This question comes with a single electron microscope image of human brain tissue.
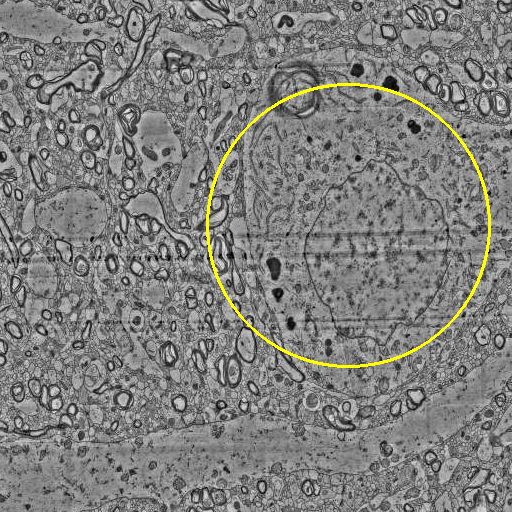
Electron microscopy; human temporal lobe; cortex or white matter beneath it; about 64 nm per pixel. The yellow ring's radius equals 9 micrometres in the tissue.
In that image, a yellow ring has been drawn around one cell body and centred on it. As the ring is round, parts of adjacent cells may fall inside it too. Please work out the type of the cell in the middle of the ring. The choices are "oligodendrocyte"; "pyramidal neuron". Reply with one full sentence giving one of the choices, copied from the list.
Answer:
Of the choices, a pyramidal neuron is the cell sitting in the middle of the ring.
